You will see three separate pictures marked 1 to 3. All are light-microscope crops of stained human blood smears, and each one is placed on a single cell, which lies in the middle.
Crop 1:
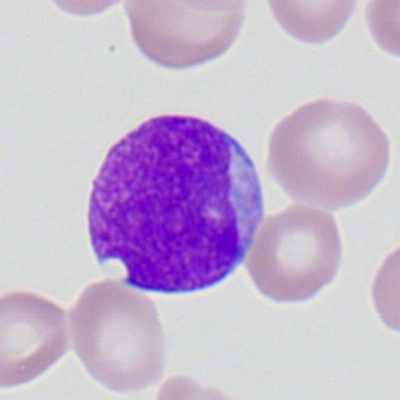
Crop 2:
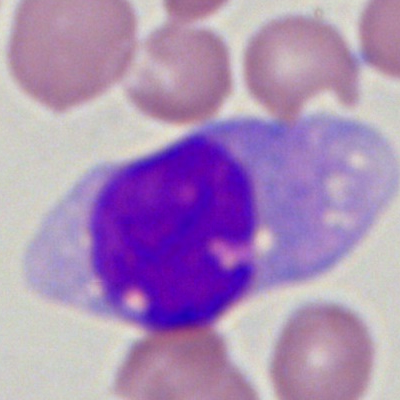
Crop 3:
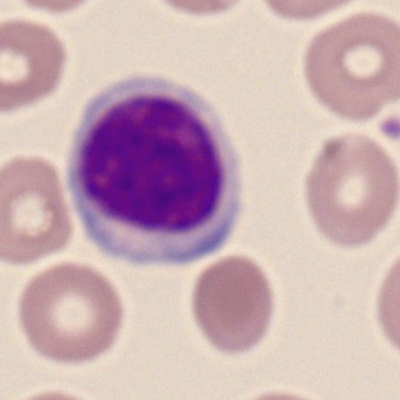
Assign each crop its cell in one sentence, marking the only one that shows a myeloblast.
Whereas crop 2 is a monocyte and crop 3 is a lymphocyte, the cell at the centre of crop 1 is a myeloblast.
